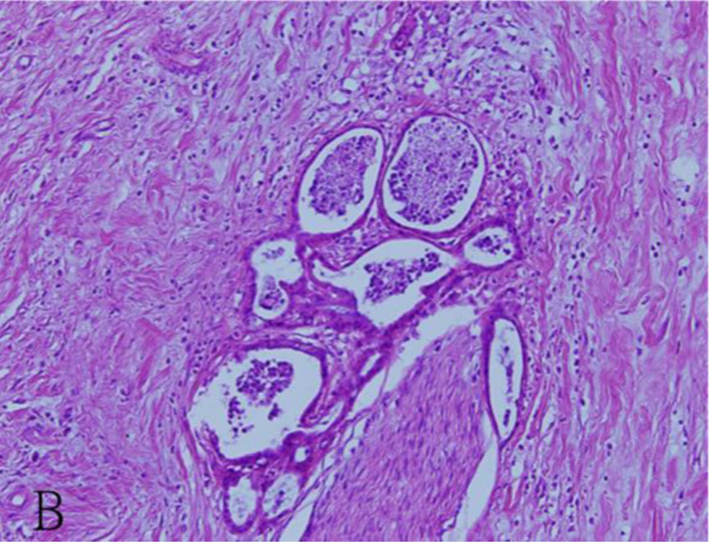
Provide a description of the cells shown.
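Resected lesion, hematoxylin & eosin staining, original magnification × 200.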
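This shows tumour glands invading along a nerve, set in pink fibrous stroma. Several small, rounded glands are lined by a thin layer of epithelial cells with dark nuclei. Their lumens are filled with clumped cellular debris. The glands cluster tightly against a bundle of pale pink, wavy fibres in the lower right, which is the nerve being invaded. The surrounding stroma is loose and collagenous, with scattered spindle-shaped and inflammatory cells.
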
